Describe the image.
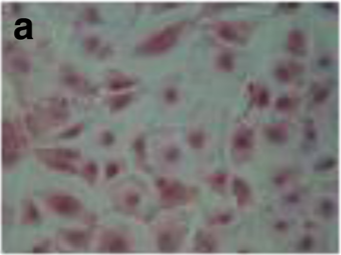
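Cultured fibroblasts are seen as a fairly dense monolayer of flattened cells. The cells are polygonal to spindle-shaped, some with short tapering extensions, and are spread across most of the field with narrow gaps between them. Their cytoplasm stains red to pink. Each cell holds a single oval nucleus that stains a darker red-purple than the surrounding cytoplasm.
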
